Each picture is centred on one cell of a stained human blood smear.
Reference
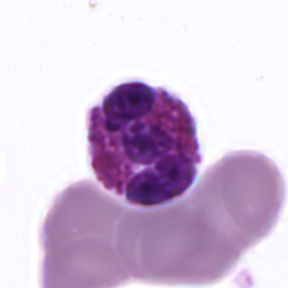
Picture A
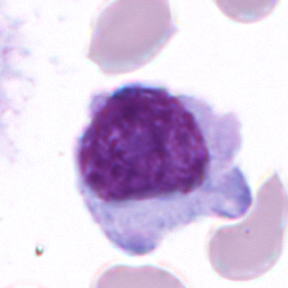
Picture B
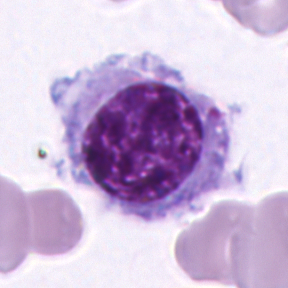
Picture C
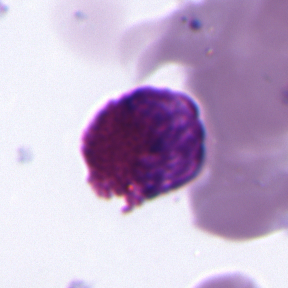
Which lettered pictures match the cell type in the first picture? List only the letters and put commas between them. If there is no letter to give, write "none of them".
C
